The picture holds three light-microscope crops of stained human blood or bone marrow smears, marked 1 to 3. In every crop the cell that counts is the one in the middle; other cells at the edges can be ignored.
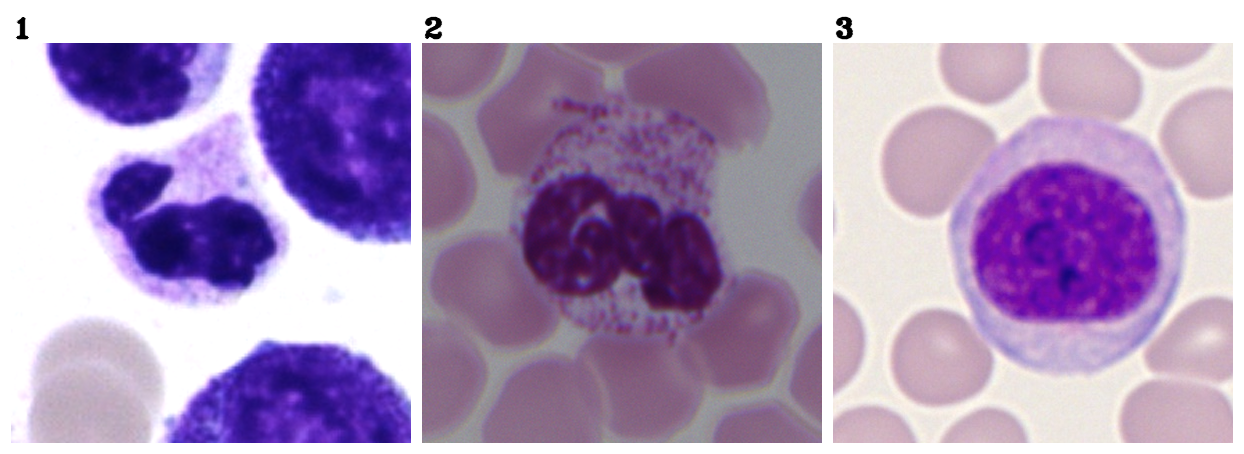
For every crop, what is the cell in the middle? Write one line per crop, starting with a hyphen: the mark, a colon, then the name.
- 1: segmented neutrophil
- 2: segmented neutrophil
- 3: monocyte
